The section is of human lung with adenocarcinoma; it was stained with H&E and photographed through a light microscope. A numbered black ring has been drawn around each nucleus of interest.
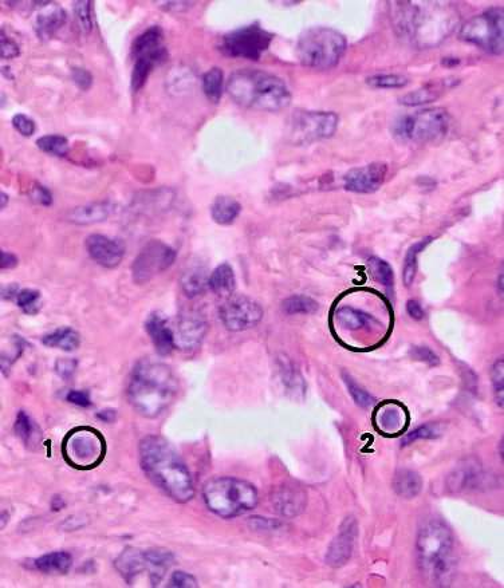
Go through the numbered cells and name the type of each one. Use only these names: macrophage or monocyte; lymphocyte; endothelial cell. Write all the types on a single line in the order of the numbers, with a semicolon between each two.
lymphocyte; lymphocyte; endothelial cell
